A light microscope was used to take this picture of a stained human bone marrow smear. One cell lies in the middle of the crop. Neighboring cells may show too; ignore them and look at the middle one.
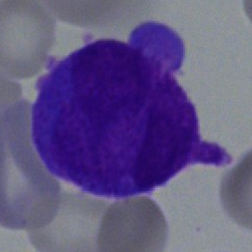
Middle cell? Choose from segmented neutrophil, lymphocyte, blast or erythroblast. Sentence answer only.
The crop's centre is taken up by a blast.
